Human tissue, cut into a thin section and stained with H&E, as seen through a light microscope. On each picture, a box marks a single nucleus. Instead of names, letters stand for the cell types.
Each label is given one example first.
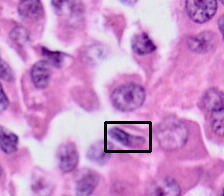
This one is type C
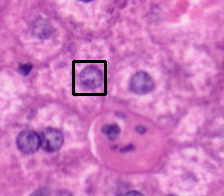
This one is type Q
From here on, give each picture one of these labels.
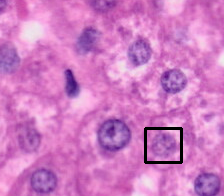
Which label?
type Q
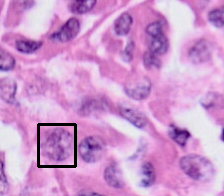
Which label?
type C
